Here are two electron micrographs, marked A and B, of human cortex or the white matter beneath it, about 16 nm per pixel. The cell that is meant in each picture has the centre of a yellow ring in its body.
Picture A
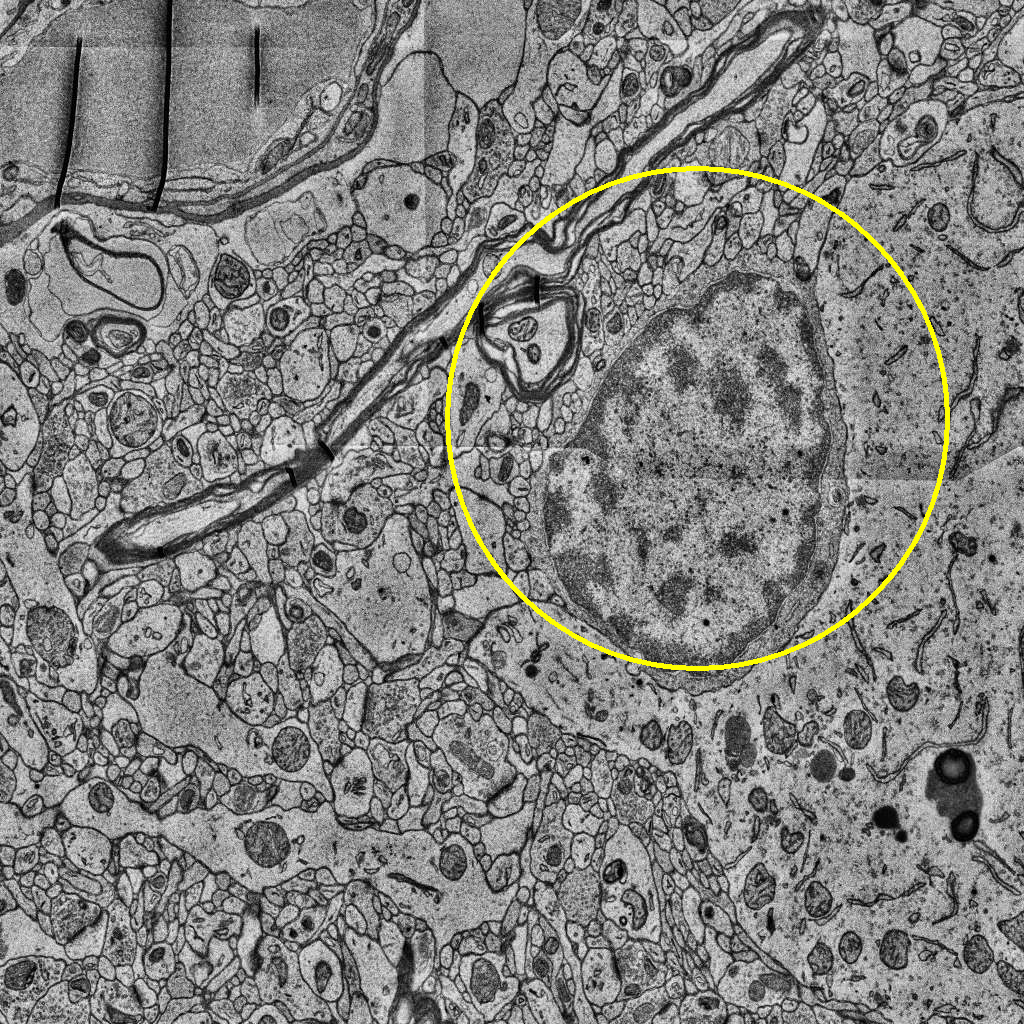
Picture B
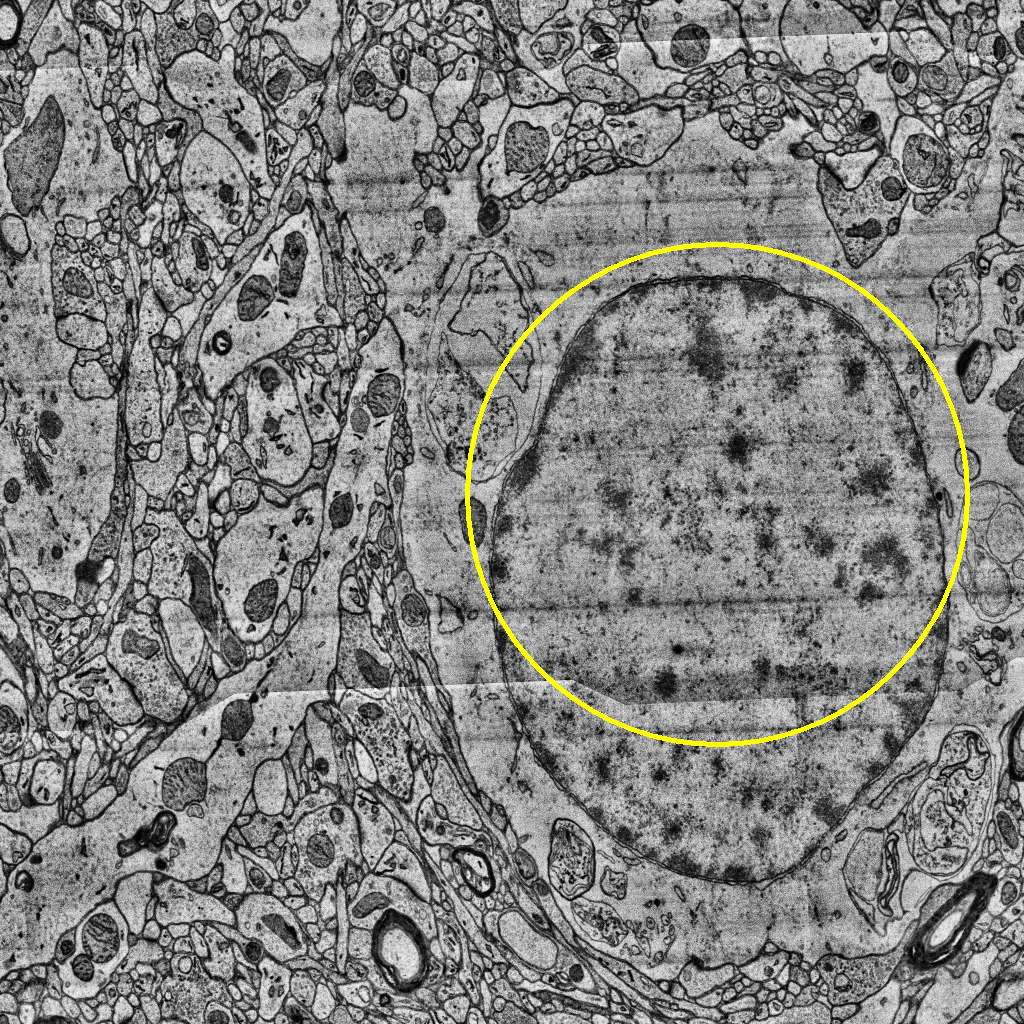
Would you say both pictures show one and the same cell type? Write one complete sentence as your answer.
No, they differ: the cell is an oligodendrocyte in picture A and an astrocyte in picture B.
